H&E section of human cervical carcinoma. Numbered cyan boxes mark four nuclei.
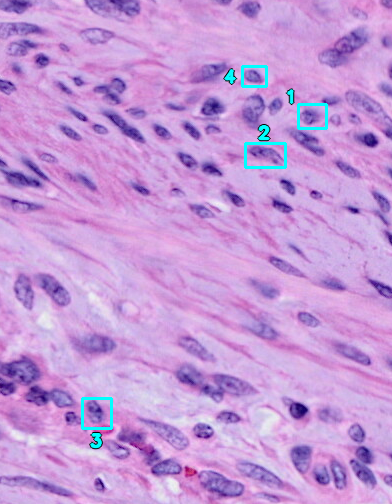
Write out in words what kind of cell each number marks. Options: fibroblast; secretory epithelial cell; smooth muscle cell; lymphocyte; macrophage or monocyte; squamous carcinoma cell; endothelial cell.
Cell 1 is a smooth muscle cell, cell 2 is a smooth muscle cell, cell 3 is an endothelial cell and cell 4 is a smooth muscle cell.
